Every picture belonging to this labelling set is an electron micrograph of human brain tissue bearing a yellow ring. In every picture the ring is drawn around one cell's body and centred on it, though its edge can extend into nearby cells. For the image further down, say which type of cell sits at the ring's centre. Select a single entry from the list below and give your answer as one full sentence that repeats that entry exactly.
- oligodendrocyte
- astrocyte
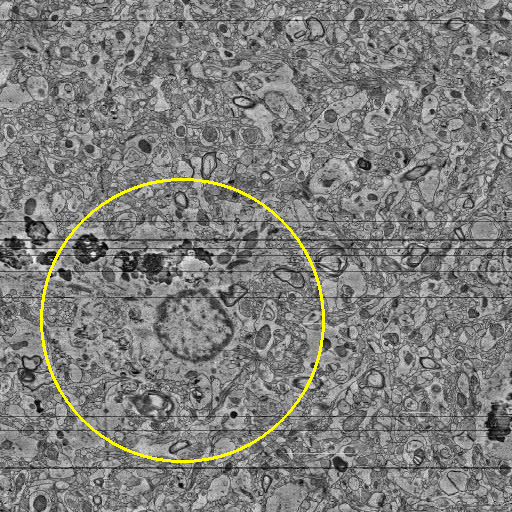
In the picture, an astrocyte is the cell at the centre of the yellow ring.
